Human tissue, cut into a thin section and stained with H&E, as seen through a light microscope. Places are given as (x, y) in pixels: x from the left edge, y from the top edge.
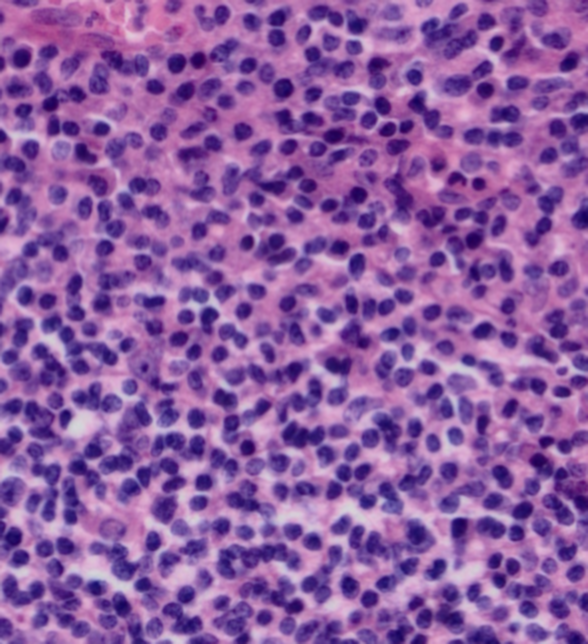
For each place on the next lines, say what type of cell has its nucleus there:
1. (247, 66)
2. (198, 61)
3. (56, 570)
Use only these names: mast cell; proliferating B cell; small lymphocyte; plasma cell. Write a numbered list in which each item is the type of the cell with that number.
1. plasma cell
2. plasma cell
3. small lymphocyte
